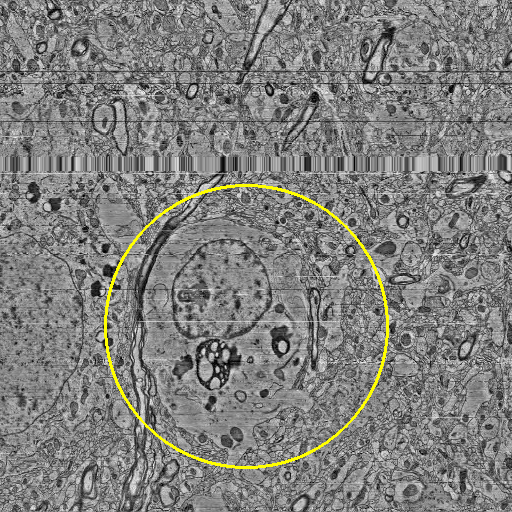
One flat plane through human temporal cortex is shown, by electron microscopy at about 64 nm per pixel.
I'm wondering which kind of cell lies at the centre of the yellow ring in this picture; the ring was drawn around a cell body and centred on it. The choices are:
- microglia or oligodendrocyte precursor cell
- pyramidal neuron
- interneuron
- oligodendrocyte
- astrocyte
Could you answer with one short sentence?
At the centre of the ring lies an astrocyte.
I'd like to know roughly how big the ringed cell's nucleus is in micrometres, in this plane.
The nucleus is approximately 7 micrometers long by 6 micrometers wide in this plane.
